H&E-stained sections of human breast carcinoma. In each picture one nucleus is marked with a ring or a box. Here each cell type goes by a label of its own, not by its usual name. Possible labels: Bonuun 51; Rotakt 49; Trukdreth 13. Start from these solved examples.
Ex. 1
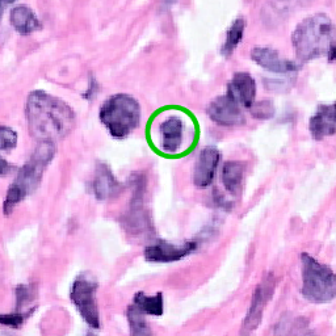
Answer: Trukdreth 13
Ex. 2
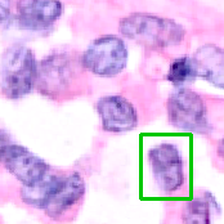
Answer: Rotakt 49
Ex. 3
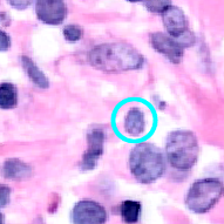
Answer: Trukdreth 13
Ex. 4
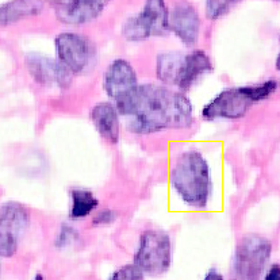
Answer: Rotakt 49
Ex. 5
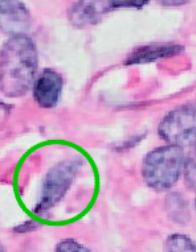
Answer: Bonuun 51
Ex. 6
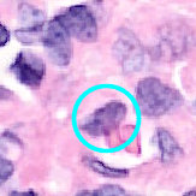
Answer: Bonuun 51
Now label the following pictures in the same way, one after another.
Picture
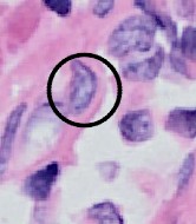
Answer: Bonuun 51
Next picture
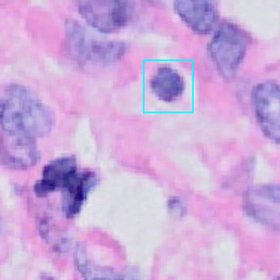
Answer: Trukdreth 13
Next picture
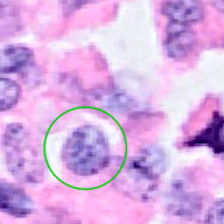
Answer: Rotakt 49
